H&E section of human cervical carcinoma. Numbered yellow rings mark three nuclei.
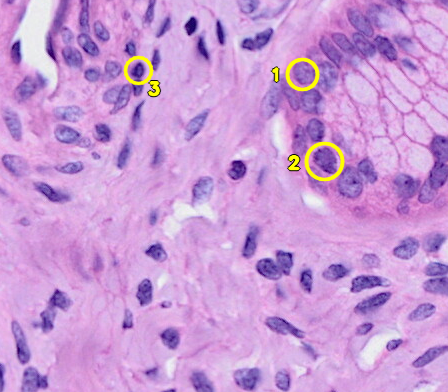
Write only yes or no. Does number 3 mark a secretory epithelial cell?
no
